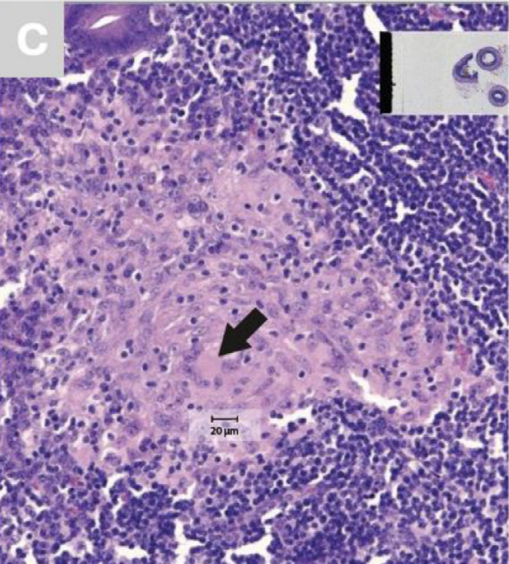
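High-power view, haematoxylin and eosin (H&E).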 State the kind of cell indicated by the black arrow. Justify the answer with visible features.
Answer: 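The arrow points to a large cell with abundant pink cytoplasm. Several nuclei lie near the cell's edge. It sits among pale elongated cells. So: Langhans-type giant cells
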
